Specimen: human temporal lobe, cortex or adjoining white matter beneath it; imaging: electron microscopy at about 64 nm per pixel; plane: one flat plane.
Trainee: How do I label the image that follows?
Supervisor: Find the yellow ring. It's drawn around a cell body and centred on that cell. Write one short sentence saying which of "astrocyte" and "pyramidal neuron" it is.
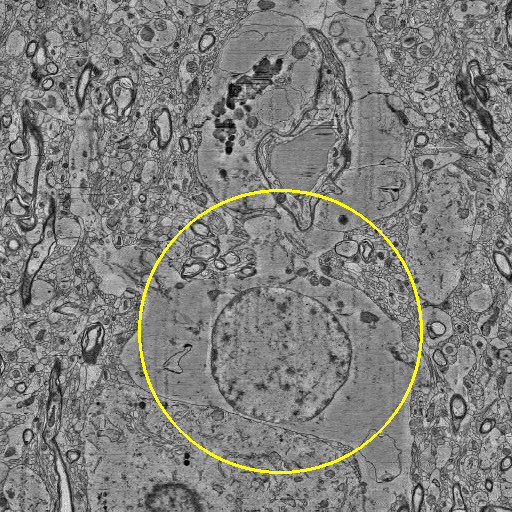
This is the cell body of an astrocyte.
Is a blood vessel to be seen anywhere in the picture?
Yes.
